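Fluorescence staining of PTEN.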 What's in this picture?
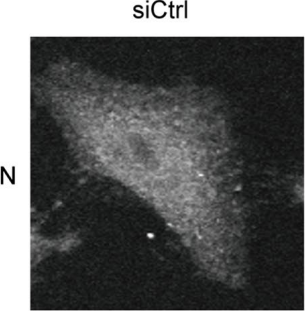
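The signal fills the cytoplasm as a fine, diffuse granular haze. The oval nucleus near the centre appears slightly darker than the surrounding cytoplasm. The cell edges are not set off by a brighter rim.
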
